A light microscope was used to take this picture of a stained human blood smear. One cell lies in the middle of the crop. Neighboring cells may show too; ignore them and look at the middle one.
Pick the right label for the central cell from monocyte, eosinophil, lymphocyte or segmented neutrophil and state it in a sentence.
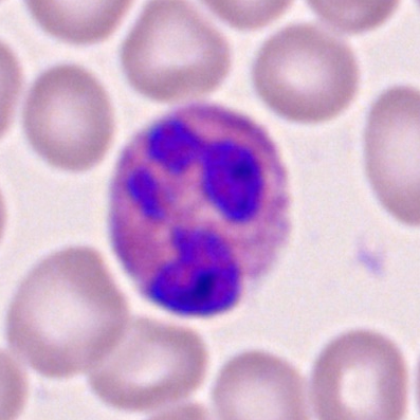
The centrally placed cell is classified as an eosinophil.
